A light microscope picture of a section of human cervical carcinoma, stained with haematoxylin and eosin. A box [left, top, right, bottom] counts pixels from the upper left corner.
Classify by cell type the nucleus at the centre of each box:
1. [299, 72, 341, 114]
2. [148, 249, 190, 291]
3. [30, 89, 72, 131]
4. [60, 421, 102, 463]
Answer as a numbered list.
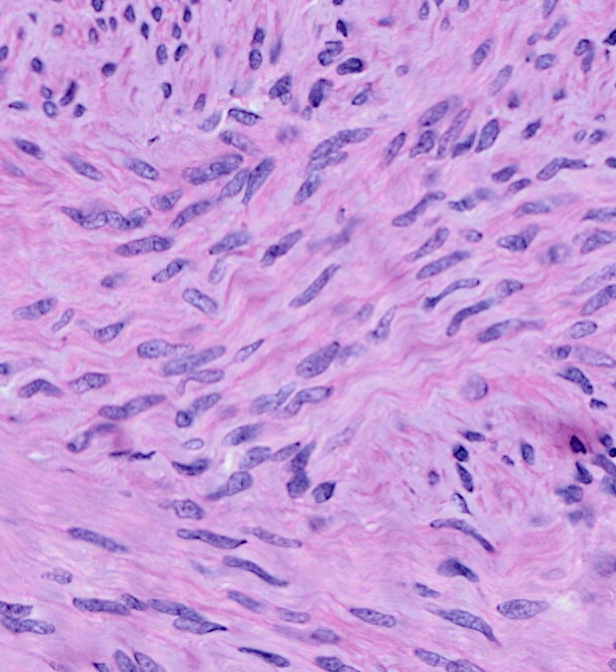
1. fibroblast
2. smooth muscle cell
3. smooth muscle cell
4. smooth muscle cell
